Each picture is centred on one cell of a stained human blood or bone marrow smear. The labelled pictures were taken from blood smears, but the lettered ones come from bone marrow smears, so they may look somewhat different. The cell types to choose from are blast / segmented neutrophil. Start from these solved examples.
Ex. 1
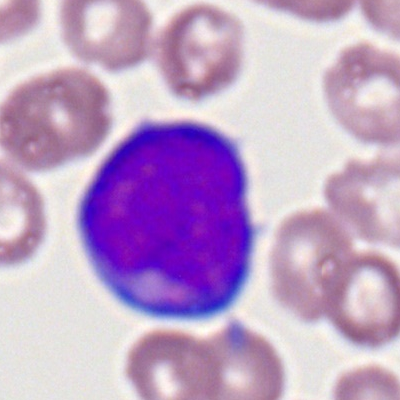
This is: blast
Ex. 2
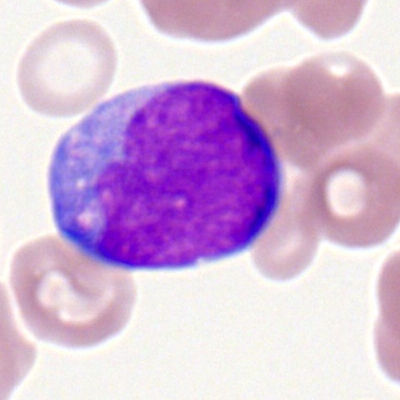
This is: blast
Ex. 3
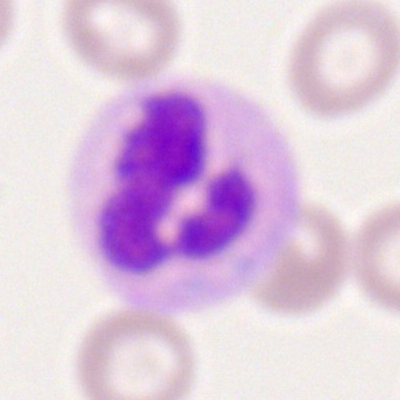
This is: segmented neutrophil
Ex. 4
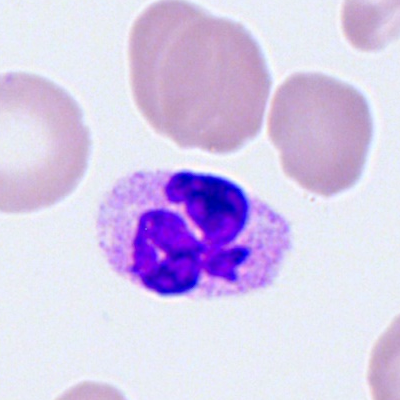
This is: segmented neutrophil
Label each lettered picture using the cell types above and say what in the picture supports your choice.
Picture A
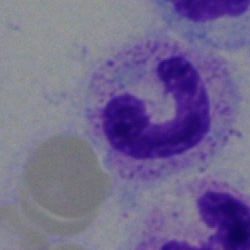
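Answer: segmented neutrophil. The nucleus is a single curved band bent into a C shape.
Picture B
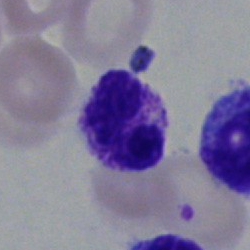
Answer: segmented neutrophil. The dense granules make the outline of the nucleus hard to follow.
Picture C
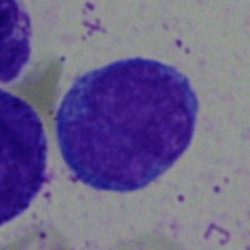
Answer: blast. The cytoplasm is only a thin rim around the nucleus.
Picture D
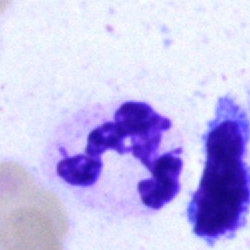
Answer: segmented neutrophil. The cytoplasm is abundant and pale pinkish-lilac.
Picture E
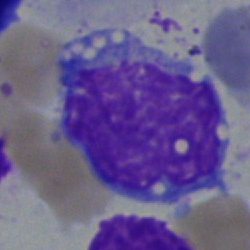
Answer: blast. The chromatin is finely stippled rather than coarsely clumped.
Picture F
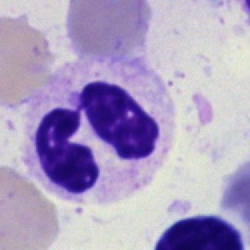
Answer: segmented neutrophil. The cytoplasm is abundant and pale pinkish-lilac.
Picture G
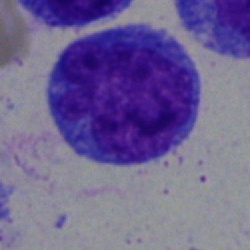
Answer: blast. The nucleus fills most of the cell.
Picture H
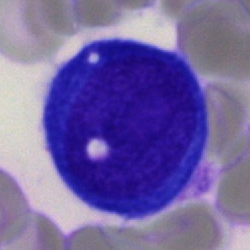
Answer: blast. The cytoplasm forms a thin rim of deep blue around the nucleus.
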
